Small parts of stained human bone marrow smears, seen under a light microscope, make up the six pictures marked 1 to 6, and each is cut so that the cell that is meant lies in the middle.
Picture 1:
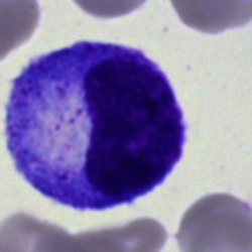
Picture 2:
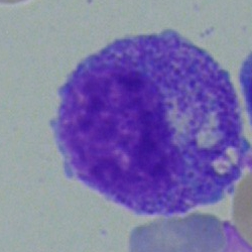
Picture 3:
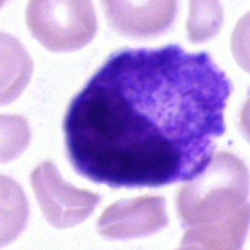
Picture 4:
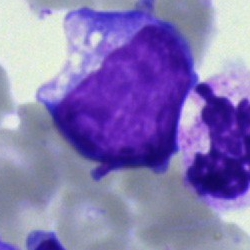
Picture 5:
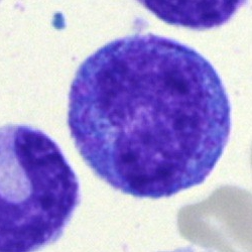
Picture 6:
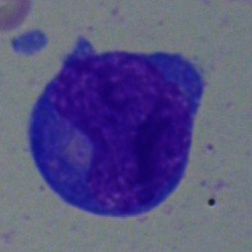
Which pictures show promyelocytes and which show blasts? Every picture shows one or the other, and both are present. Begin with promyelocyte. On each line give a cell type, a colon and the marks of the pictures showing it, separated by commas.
promyelocyte: 1, 2, 3, 5
blast: 4, 6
